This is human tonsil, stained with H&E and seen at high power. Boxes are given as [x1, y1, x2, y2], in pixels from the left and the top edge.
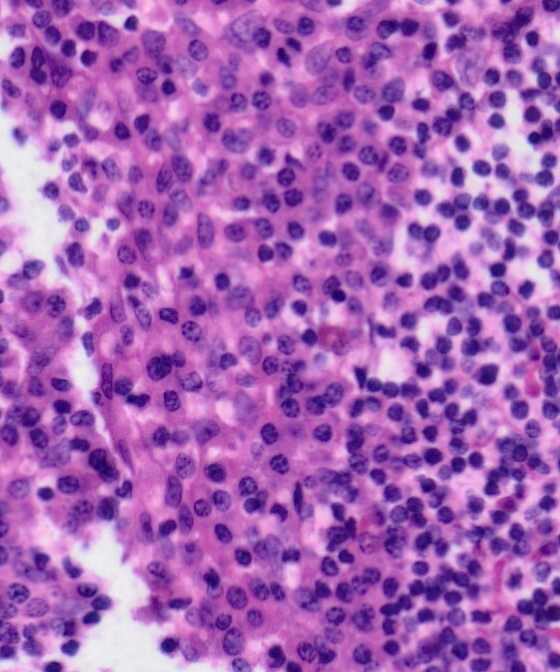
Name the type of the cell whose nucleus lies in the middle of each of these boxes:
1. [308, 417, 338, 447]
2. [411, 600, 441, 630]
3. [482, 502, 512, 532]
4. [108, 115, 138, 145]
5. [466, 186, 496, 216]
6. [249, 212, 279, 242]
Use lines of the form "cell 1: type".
cell 1: plasma cell
cell 2: small lymphocyte
cell 3: small lymphocyte
cell 4: plasma cell
cell 5: small lymphocyte
cell 6: plasma cell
